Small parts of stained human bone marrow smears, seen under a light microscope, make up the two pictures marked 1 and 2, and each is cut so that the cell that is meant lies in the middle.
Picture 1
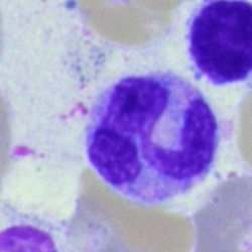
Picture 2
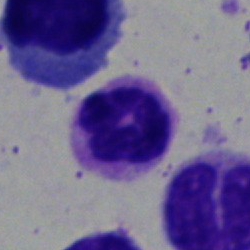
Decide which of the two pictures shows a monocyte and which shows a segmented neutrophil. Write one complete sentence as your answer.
Picture 1 is of a monocyte, and picture 2 is of a segmented neutrophil.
